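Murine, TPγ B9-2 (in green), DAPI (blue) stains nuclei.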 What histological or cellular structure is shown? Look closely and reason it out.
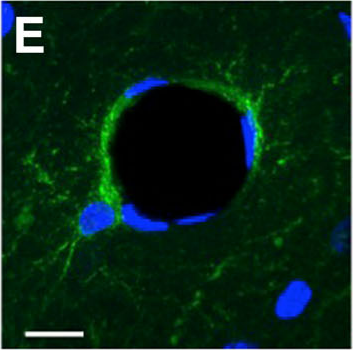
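A large round dark lumen lies in the centre. Flattened blue nuclei line the rim of the lumen. A green ring outlines the lumen wall. So: vessel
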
